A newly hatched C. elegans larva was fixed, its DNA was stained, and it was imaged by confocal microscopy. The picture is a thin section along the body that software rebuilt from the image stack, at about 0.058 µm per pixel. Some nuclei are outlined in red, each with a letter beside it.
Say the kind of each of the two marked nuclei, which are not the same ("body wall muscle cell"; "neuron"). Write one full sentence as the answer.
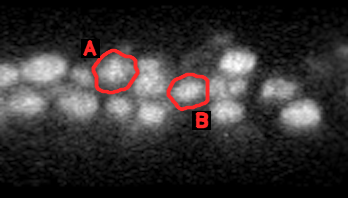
B belongs to a neuron, and A to a body wall muscle cell.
